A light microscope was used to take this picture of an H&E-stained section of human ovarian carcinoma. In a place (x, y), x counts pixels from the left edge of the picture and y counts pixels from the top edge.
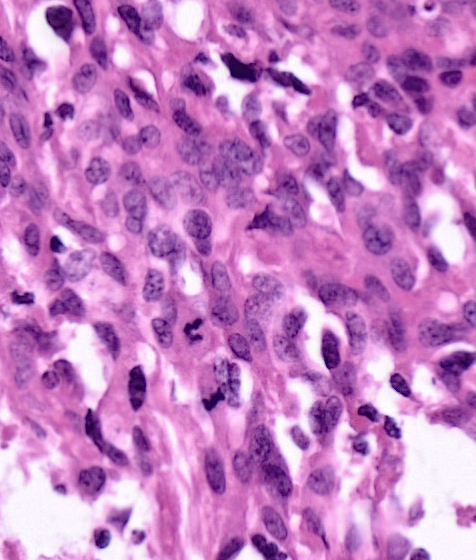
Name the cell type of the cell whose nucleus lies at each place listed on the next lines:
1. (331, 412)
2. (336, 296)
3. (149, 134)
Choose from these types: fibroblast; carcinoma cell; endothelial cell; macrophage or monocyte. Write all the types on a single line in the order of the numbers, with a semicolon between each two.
carcinoma cell; carcinoma cell; macrophage or monocyte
